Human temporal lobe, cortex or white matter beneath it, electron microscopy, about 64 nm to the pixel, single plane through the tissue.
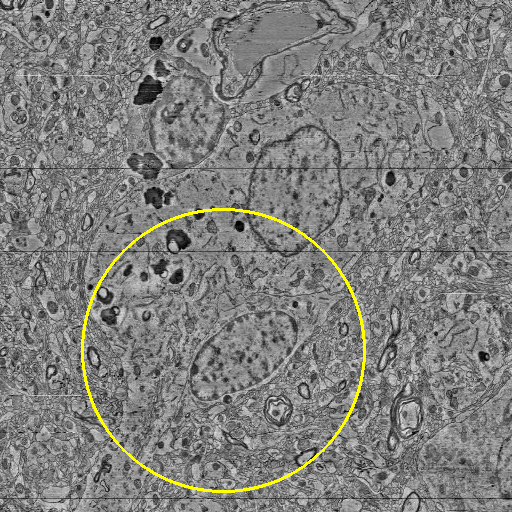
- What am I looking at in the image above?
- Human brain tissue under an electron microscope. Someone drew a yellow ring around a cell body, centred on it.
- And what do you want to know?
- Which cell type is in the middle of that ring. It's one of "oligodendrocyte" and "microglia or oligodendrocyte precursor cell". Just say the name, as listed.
microglia or oligodendrocyte precursor cell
